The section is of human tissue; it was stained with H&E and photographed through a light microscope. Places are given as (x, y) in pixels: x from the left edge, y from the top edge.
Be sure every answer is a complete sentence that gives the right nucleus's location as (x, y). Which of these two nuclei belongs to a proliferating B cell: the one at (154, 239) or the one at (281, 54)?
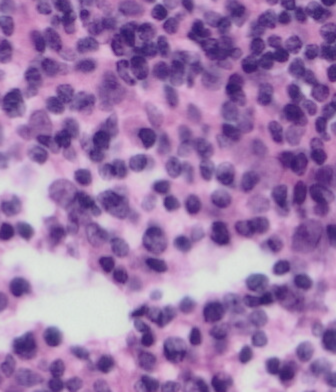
The nucleus at (154, 239) is contained in a proliferating B cell.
